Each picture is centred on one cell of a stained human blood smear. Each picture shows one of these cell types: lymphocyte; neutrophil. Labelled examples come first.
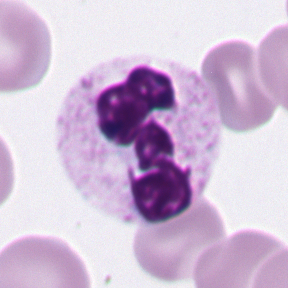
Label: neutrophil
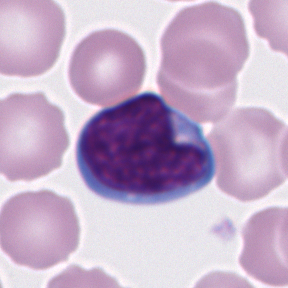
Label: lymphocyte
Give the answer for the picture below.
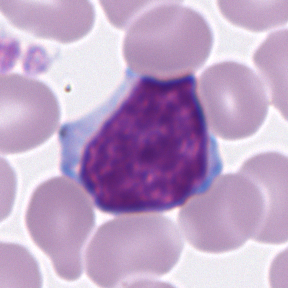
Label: lymphocyte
